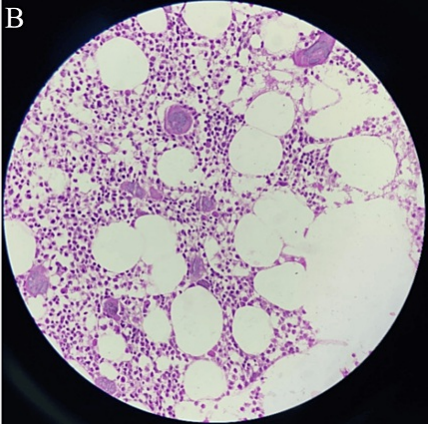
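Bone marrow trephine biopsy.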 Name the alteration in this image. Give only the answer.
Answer: Megakaryocytic hyperplasia.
